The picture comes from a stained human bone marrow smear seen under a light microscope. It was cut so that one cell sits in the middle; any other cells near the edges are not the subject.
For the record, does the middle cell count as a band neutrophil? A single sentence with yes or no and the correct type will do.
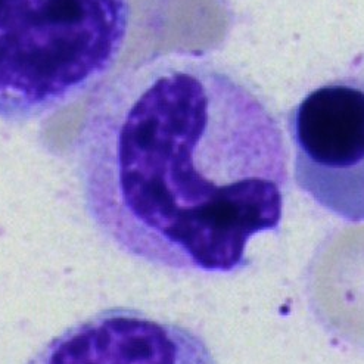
Yes, the middle cell is classified as a band neutrophil.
